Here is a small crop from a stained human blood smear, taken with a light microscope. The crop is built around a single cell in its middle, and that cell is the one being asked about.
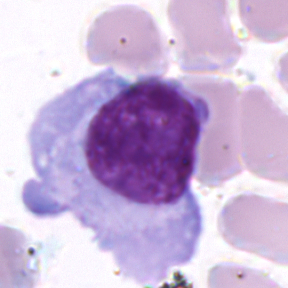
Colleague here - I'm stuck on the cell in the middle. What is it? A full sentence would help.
The crop shows a plasma cell in its centre.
